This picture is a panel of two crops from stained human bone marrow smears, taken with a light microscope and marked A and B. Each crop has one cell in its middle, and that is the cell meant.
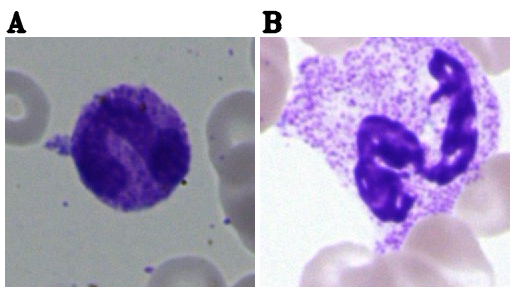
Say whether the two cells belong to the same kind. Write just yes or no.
yes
